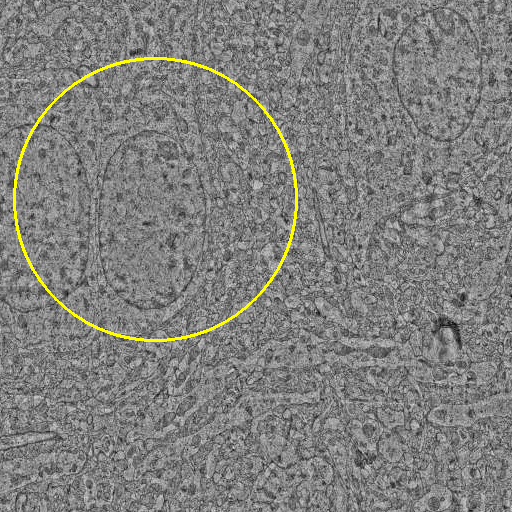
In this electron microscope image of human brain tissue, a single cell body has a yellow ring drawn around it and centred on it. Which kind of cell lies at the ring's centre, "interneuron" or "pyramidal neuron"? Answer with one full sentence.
It is a pyramidal neuron whose cell body lies at the centre of the yellow ring here.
